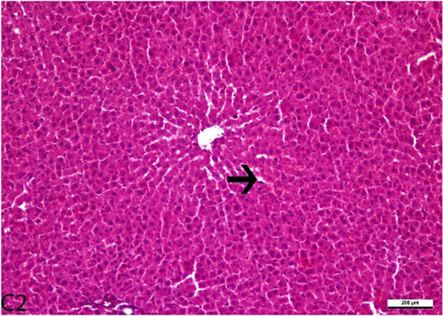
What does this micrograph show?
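This is liver with hepatocytes arranged in plates radiating from a small central vessel. The hepatocytes are polygonal with purple-pink cytoplasm and round dark nuclei. Between the plates run thin white clefts, the sinusoids, which converge on the vessel in the middle. The overall arrangement of the lobule is preserved across the field.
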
